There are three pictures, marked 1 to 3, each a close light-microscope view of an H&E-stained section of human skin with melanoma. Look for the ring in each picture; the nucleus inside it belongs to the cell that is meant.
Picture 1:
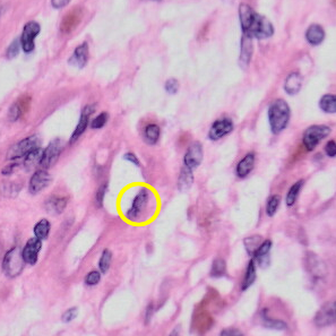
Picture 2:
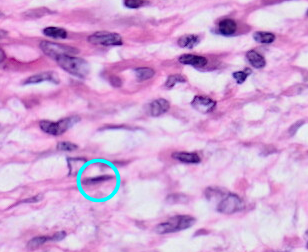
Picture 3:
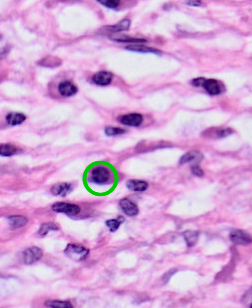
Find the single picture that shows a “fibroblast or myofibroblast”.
2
